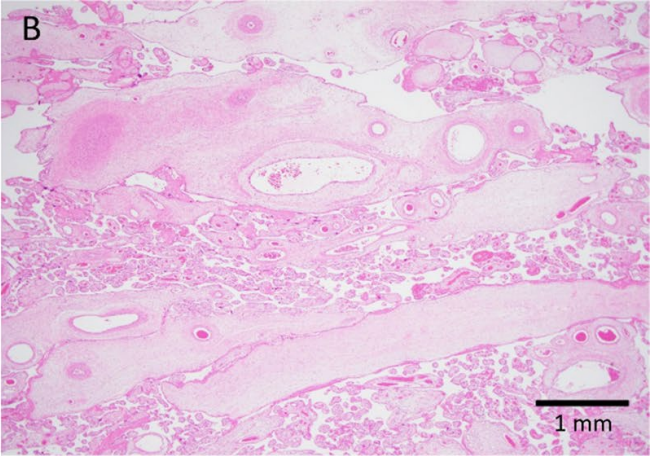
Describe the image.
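This low-power view of placental tissue shows enlarged stem villi with hydropic changes. Several long, broad villi run across the field, dwarfing the many small villi scattered in the spaces between them. Their stroma is pale pink and loose, with a washed-out, watery look. Within the large villi lie thick-walled vessels, some with red blood cells in their lumens. The small villi between them are densely packed and stain more deeply.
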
